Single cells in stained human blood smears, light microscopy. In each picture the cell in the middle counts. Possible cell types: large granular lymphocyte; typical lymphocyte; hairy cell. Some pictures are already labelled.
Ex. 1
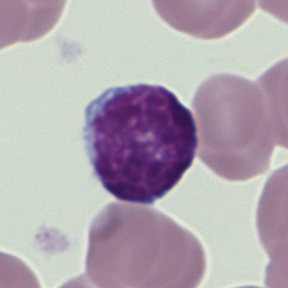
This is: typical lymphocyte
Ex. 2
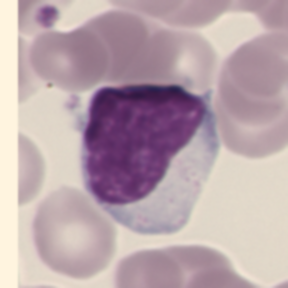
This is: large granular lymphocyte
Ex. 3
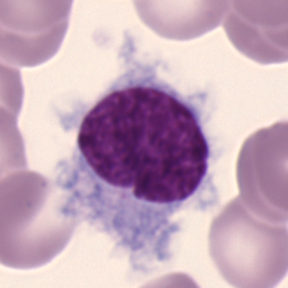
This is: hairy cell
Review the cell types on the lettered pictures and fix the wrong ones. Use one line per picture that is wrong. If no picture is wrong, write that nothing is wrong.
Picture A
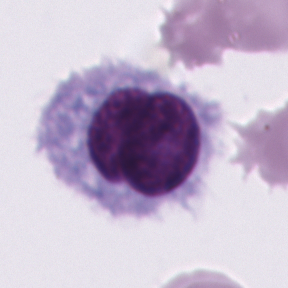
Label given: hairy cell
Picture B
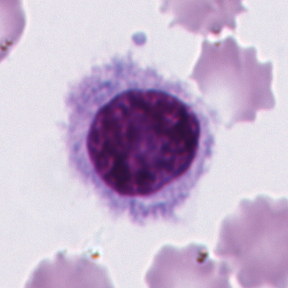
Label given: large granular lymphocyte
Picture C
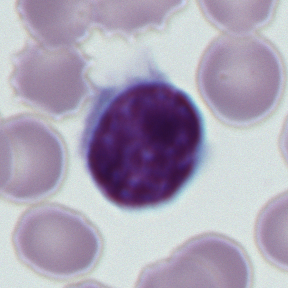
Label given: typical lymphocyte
B is labelled large granular lymphocyte; correct label: hairy cell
